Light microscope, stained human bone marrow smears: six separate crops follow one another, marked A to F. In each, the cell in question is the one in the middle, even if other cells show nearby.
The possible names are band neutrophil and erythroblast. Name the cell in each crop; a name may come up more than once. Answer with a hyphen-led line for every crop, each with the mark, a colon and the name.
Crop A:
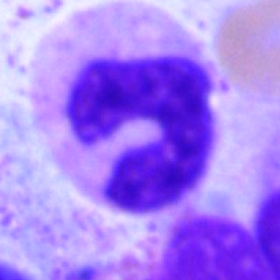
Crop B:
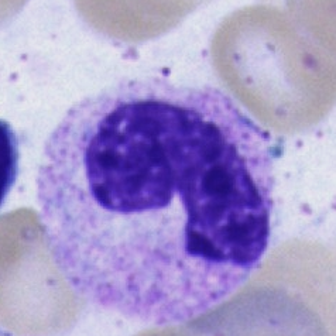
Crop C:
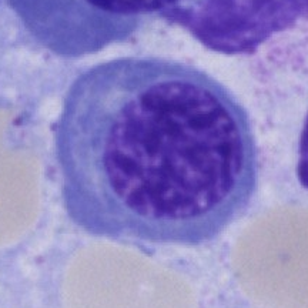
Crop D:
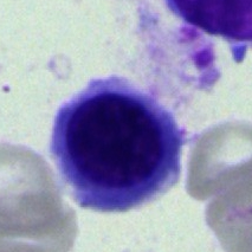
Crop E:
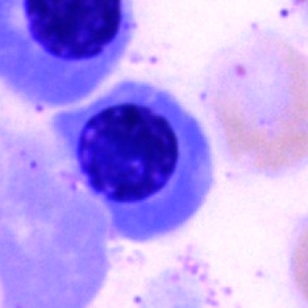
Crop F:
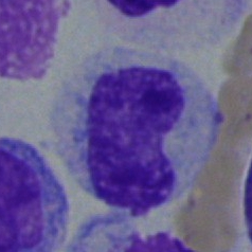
- A: band neutrophil
- B: band neutrophil
- C: erythroblast
- D: erythroblast
- E: erythroblast
- F: band neutrophil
